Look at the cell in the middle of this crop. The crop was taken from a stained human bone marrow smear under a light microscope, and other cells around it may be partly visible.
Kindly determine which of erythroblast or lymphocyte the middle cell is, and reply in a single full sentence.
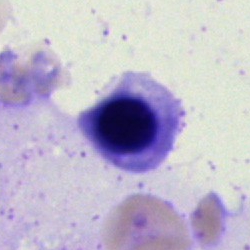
The target cell in the middle of the crop is an erythroblast.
